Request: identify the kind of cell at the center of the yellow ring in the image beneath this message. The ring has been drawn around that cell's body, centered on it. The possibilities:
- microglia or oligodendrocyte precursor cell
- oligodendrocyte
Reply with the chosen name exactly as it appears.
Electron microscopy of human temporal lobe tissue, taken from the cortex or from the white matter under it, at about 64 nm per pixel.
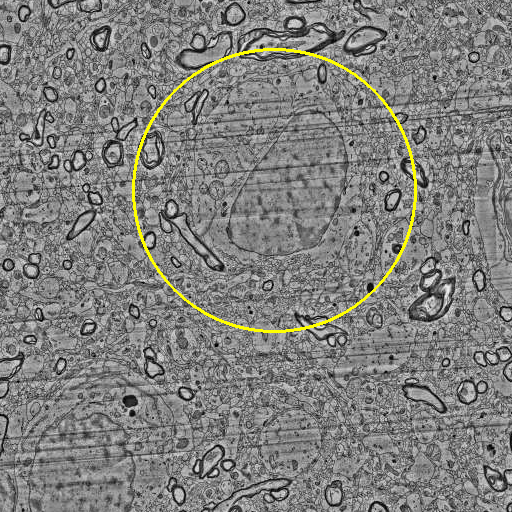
microglia or oligodendrocyte precursor cell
